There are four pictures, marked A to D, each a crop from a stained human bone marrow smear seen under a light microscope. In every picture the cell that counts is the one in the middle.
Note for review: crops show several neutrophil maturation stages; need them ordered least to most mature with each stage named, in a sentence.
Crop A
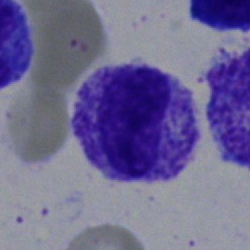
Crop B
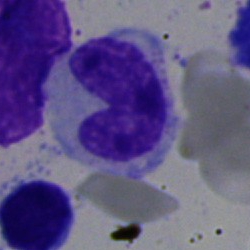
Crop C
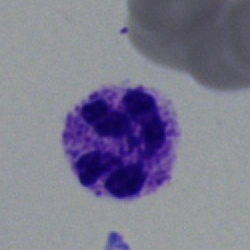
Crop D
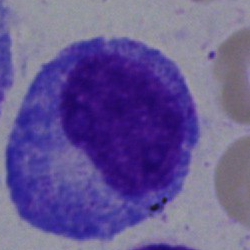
In ascending maturational order, the crops are crop D (a promyelocyte), crop A (a myelocyte), crop B (a band neutrophil) and crop C (a segmented neutrophil).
